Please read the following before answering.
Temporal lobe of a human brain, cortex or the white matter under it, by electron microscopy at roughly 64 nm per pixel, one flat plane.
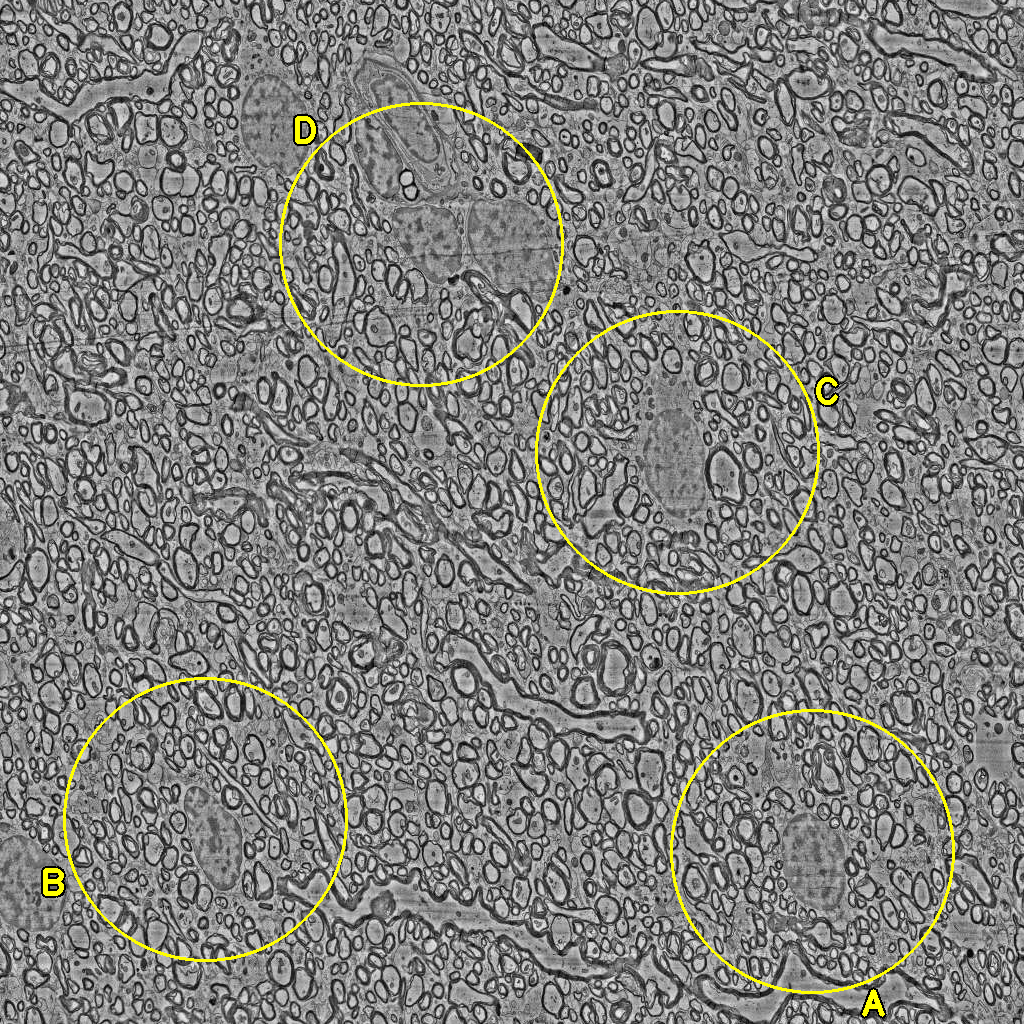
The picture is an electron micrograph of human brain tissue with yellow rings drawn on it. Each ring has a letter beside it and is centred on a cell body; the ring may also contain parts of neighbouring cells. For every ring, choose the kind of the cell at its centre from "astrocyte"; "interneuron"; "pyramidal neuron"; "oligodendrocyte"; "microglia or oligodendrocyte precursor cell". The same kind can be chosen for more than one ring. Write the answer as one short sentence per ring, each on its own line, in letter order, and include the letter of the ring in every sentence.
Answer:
The kind of cell at the centre of ring A is an oligodendrocyte.
The kind of cell at the centre of ring B is a microglial cell or oligodendrocyte precursor cell.
The kind of cell at the centre of ring C is an oligodendrocyte.
The kind of cell at the centre of ring D is a microglial cell or oligodendrocyte precursor cell.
